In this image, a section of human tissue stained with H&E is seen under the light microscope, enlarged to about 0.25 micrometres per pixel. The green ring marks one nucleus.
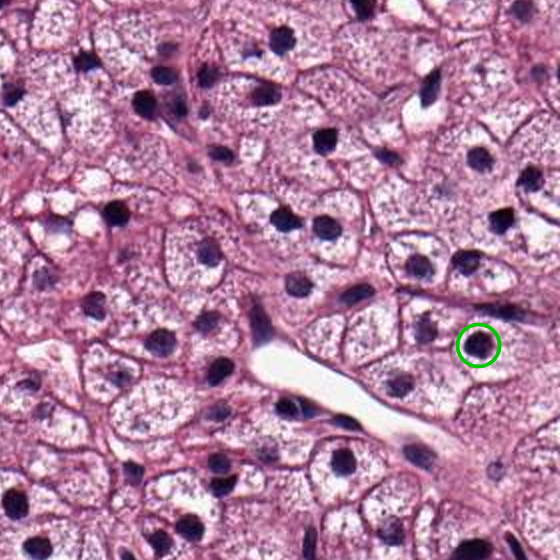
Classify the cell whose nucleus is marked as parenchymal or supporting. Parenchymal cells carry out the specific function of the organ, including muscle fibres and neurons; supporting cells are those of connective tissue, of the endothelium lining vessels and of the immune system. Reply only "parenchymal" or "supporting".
parenchymal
